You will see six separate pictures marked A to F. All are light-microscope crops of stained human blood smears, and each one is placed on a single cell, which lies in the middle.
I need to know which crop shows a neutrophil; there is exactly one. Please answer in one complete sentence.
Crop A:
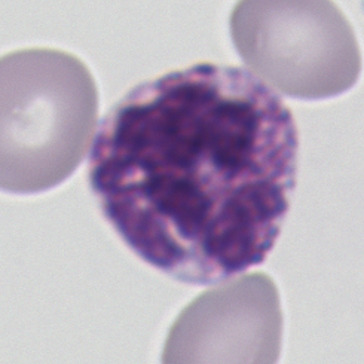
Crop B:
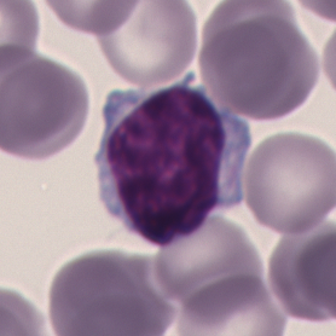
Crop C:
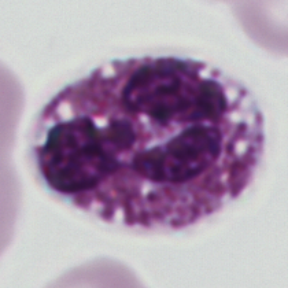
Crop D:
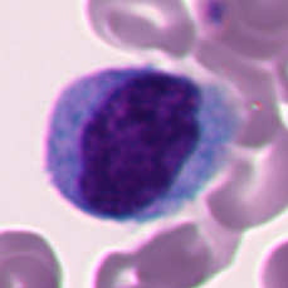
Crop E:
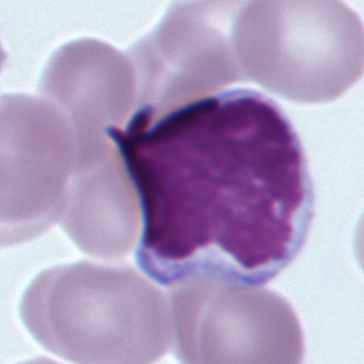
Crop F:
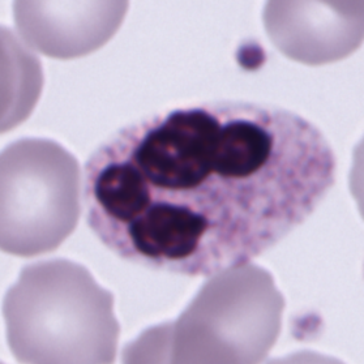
Crop F matches the request, showing a neutrophil.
